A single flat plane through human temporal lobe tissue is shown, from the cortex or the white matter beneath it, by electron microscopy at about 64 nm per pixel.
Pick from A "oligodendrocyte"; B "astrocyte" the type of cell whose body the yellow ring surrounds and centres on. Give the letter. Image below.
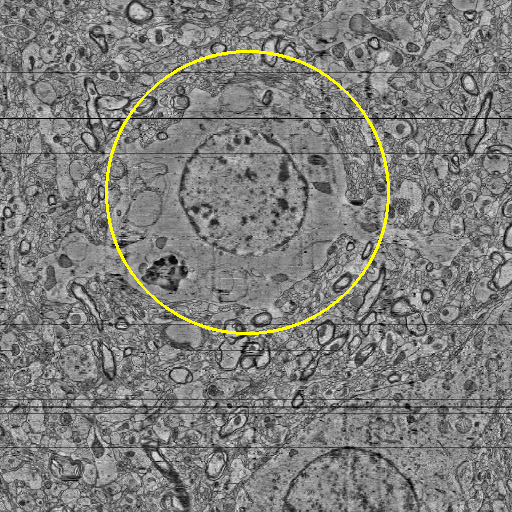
B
